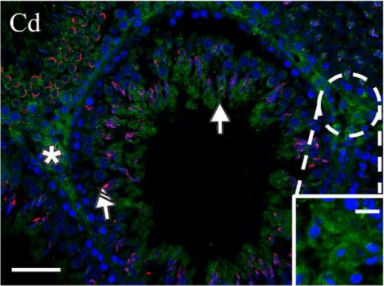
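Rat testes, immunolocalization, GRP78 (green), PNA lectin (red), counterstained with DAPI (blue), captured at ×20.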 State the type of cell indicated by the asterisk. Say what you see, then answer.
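The asterisk sits outside the curved tubule wall in the interstitial space. Cells there form small clusters between tubules.
Answer: Leydig cells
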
